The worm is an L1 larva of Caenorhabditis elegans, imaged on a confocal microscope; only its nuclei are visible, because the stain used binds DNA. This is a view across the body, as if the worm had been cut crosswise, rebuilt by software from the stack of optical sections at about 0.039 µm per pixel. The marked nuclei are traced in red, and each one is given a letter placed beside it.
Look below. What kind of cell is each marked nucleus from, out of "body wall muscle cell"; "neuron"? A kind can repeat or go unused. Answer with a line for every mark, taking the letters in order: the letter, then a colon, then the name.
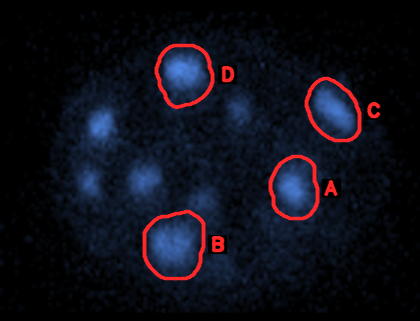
A: neuron
B: neuron
C: body wall muscle cell
D: neuron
